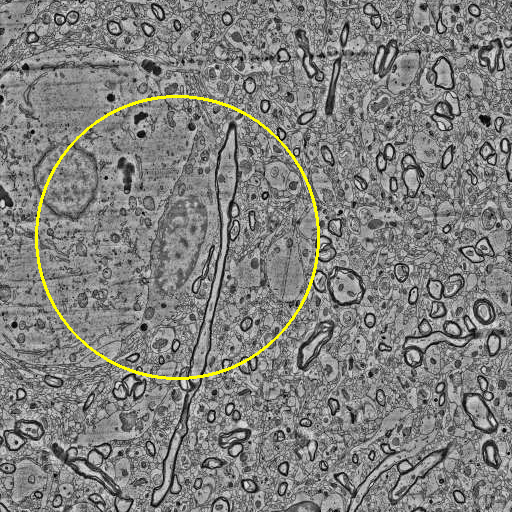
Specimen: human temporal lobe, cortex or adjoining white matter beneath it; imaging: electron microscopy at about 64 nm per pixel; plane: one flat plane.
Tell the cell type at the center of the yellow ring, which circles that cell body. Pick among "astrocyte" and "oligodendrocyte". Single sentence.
The ring is centered on the body of an oligodendrocyte.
